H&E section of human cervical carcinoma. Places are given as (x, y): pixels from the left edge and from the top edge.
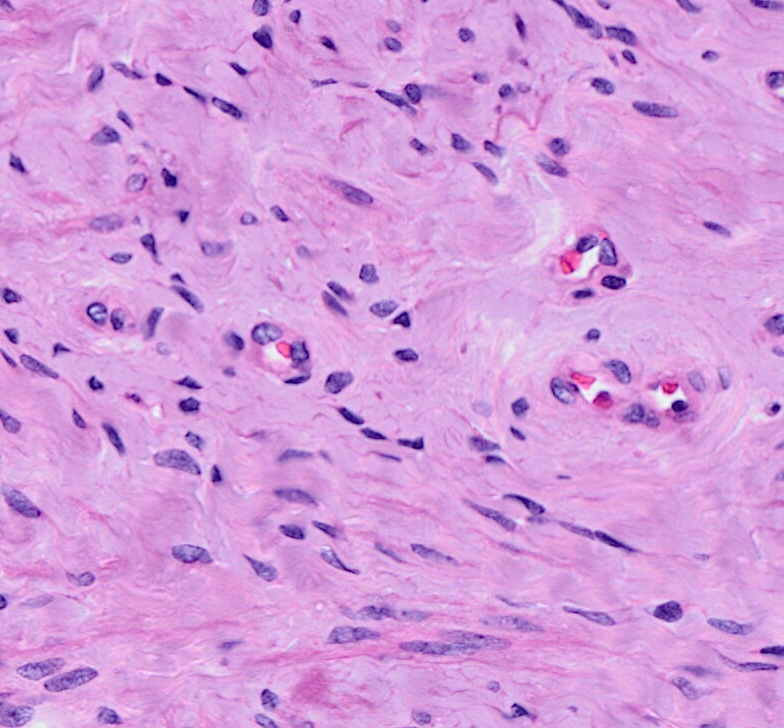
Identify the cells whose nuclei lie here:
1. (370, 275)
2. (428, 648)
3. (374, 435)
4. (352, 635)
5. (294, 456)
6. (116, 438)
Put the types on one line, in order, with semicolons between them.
fibroblast; smooth muscle cell; fibroblast; smooth muscle cell; fibroblast; fibroblast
